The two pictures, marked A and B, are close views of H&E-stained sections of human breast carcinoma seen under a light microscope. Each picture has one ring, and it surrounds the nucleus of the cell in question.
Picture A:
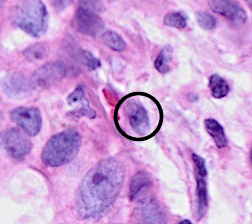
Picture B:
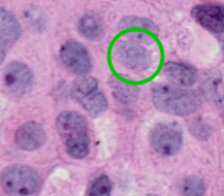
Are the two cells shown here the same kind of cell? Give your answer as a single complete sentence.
No. Picture A shows an endothelial cell, but picture B shows a carcinoma cell.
